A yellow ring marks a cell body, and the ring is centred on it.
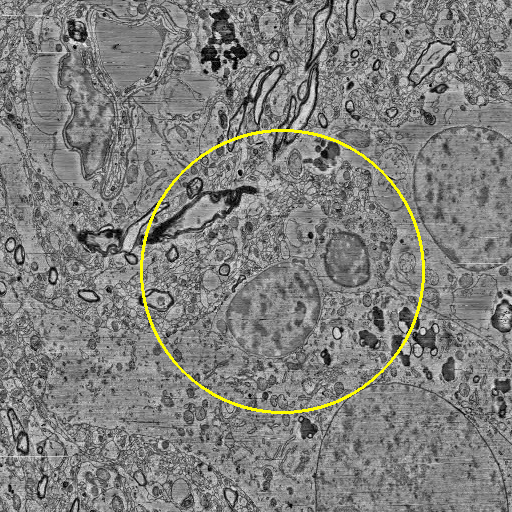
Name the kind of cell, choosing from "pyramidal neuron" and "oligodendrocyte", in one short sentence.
The marked cell body belongs to an oligodendrocyte.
